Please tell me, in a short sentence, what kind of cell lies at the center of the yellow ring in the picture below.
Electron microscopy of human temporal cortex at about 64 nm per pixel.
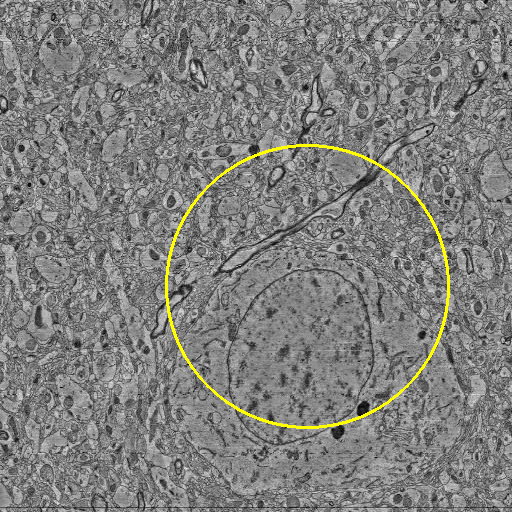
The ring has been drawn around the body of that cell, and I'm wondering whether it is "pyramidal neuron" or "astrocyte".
The cell at the center of the ring is a pyramidal neuron.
